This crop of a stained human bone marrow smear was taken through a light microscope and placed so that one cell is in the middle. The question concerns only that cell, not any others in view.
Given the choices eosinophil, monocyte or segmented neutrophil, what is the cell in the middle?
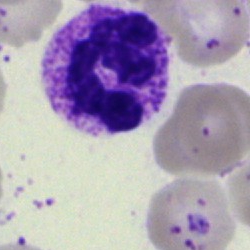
segmented neutrophil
